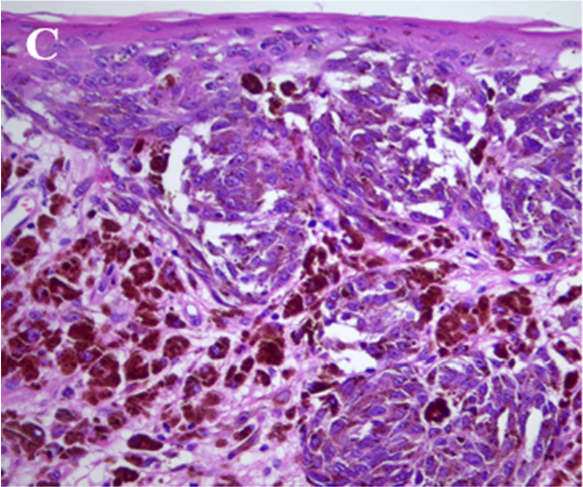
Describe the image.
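This is a solid tumour area lying beneath a thin stratified squamous epithelium, made of nests of pleomorphic cells. The cells vary clearly in size and shape, with irregular nuclei, some of which carry conspicuous nucleoli. Many cells are packed with coarse dark brown-black pigment granules that partly hide their nuclei. The nests are rounded and separated by thin pink fibrous strands, and they infiltrate the tissue rather than forming an orderly layer. At the top, atypical cells reach right up to and into the base of the surface epithelium, the picture of junctional activity.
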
